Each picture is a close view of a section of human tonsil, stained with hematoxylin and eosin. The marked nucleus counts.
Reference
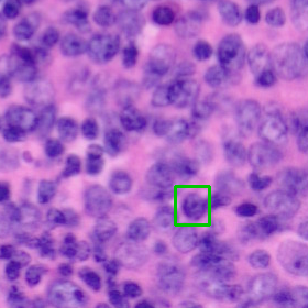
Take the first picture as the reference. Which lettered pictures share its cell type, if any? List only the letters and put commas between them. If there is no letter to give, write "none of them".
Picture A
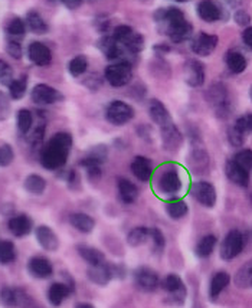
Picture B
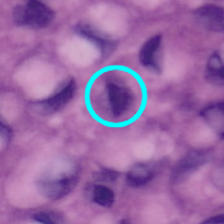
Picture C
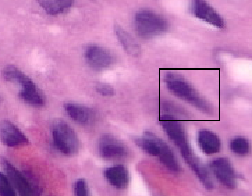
none of them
